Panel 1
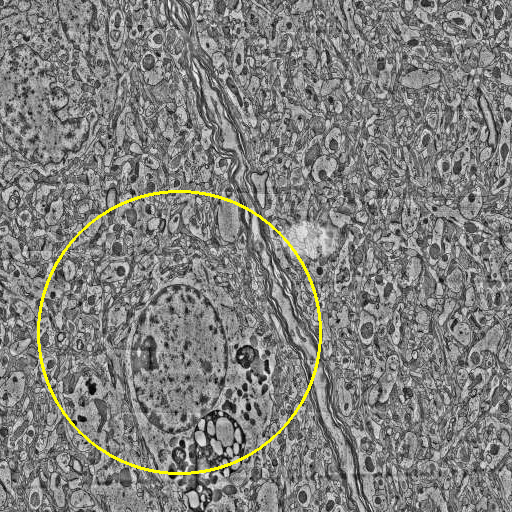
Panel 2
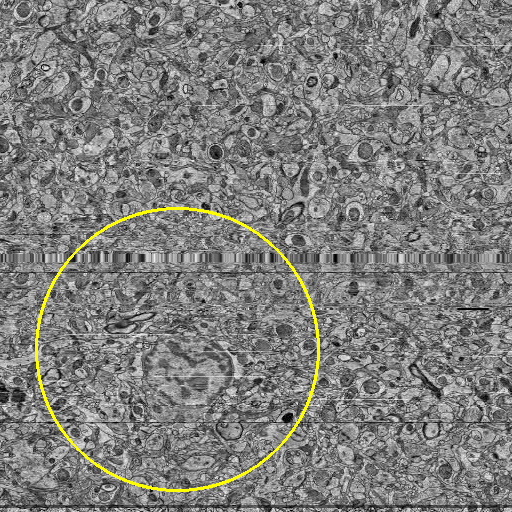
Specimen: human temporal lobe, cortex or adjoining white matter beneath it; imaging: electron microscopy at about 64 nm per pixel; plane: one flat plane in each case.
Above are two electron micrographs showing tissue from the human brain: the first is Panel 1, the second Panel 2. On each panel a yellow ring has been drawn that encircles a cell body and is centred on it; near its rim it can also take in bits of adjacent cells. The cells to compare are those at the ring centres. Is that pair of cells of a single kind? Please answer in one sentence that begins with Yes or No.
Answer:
No, the ring-centred cells of Panel 1 and Panel 2 belong to two kinds.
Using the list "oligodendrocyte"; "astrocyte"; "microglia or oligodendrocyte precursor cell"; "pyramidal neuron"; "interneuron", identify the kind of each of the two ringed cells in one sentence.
The first is an astrocyte and the second is an oligodendrocyte.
